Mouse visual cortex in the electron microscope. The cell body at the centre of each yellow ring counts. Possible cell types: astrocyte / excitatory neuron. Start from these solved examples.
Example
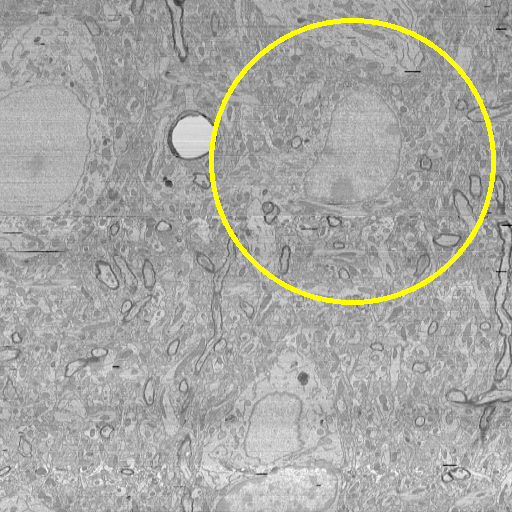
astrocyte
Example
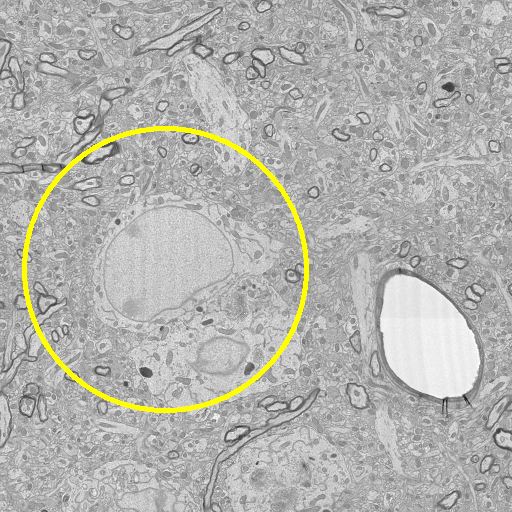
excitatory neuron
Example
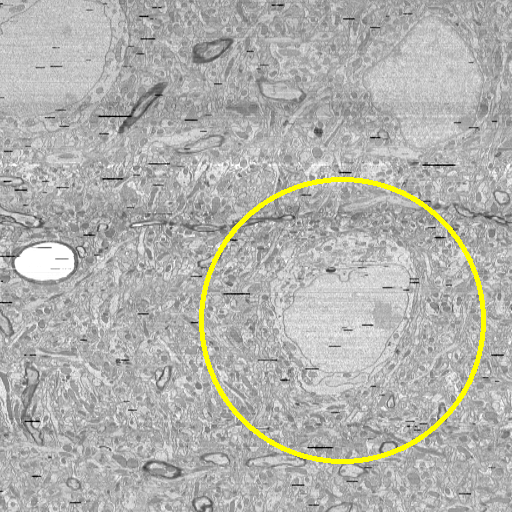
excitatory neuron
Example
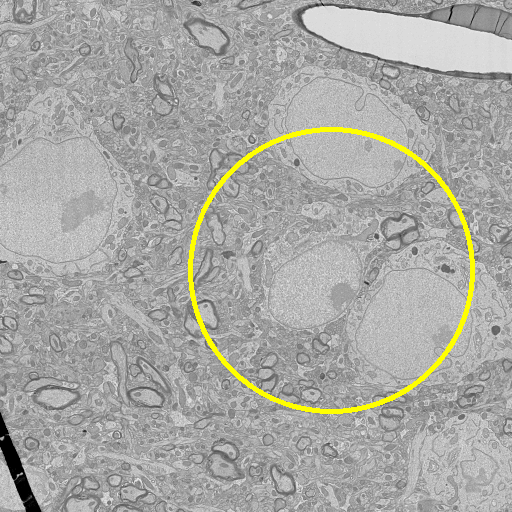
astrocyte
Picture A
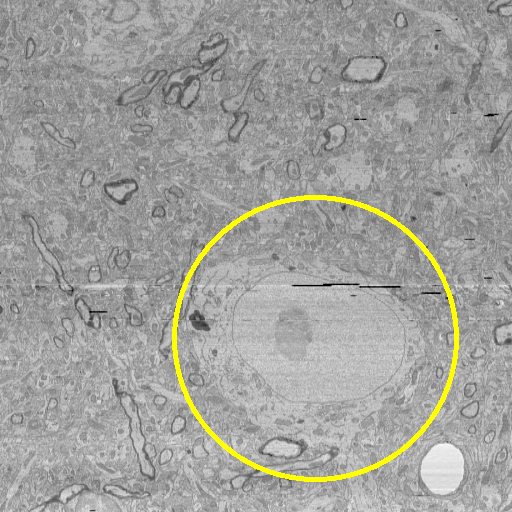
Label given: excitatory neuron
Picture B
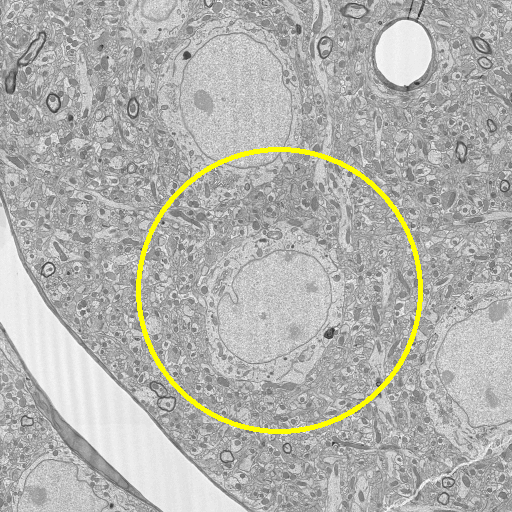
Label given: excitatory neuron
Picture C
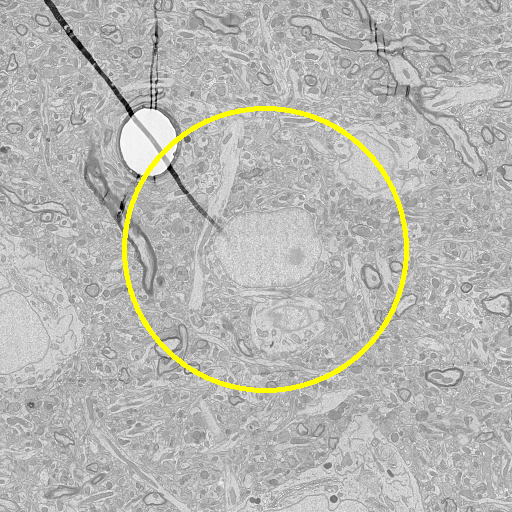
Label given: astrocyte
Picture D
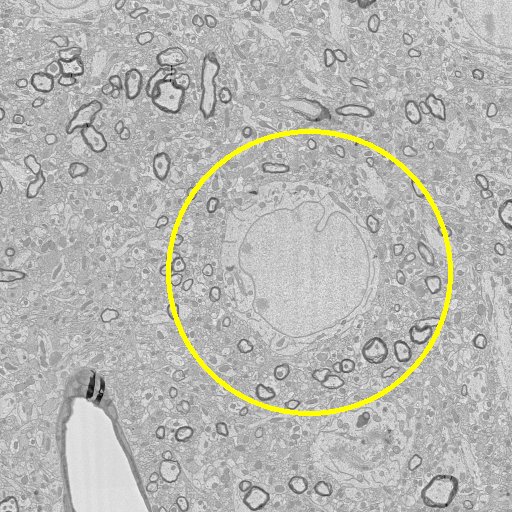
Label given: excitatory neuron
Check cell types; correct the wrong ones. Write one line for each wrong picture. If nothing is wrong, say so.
No label is wrong.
